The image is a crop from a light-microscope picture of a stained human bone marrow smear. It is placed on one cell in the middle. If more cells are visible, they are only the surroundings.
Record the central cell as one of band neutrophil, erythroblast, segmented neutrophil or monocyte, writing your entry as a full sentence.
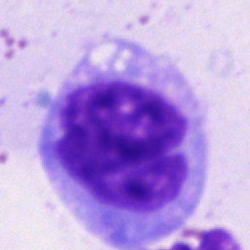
The cell the crop is centered on is a monocyte.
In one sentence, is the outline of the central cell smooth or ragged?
Worth noting that the cell border is smooth and lacks projections.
